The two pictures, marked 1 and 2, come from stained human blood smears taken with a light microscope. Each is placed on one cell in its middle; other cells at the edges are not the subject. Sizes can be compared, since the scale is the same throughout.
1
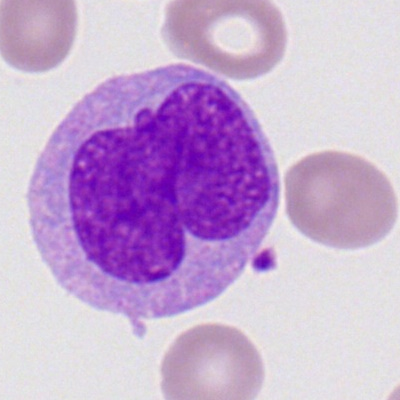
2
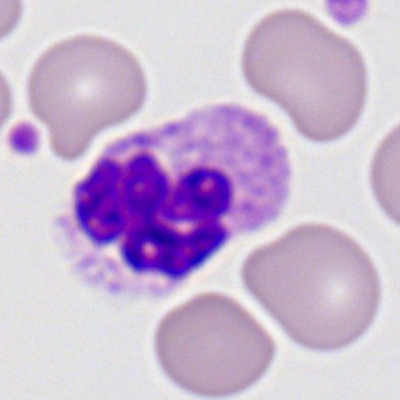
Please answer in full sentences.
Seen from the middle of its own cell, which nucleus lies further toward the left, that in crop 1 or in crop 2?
Seen within its cell, the nucleus in crop 2 lies further toward the left.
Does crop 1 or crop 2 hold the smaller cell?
Smaller is the cell in crop 2, and the other is about 2 times as large in area.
